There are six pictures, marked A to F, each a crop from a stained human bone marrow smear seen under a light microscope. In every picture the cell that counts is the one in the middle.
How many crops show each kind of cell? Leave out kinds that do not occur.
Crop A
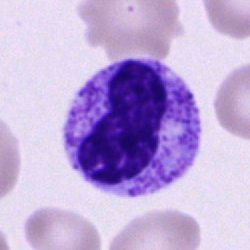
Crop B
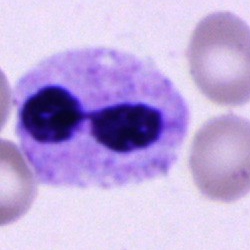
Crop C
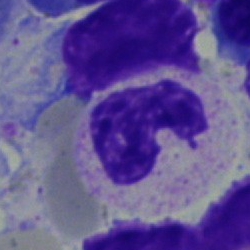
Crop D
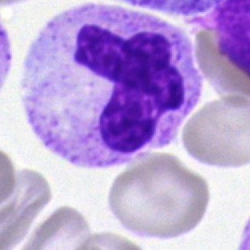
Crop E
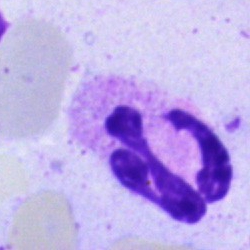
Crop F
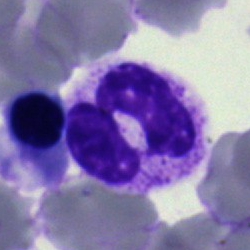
segmented neutrophil: 4
band neutrophil: 2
